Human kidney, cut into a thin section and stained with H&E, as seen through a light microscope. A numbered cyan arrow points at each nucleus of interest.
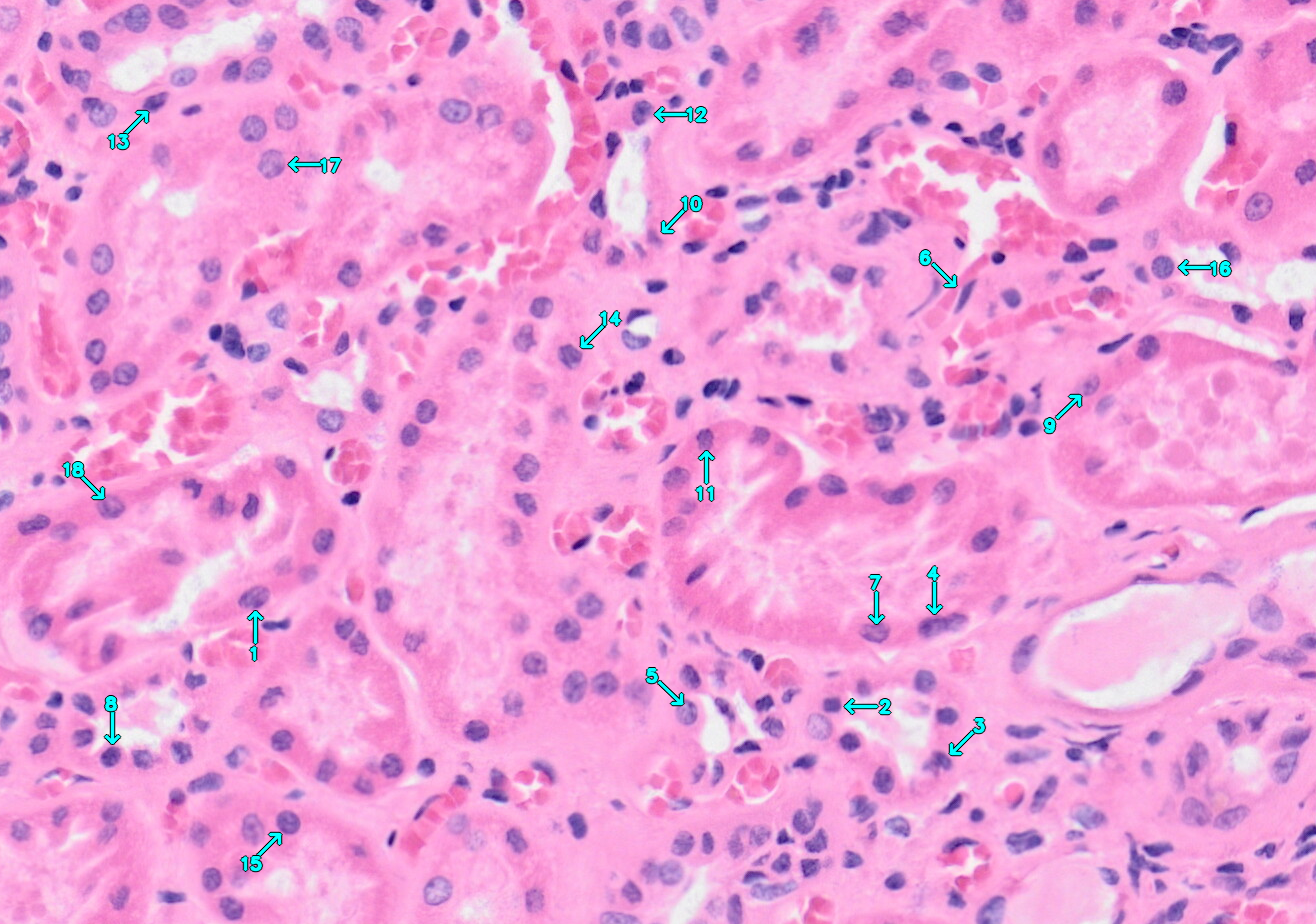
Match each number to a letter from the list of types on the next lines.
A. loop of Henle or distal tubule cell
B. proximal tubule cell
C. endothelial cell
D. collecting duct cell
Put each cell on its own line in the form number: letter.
1: B
2: A
3: A
4: B
5: A
6: C
7: B
8: A
9: B
10: A
11: B
12: A
13: D
14: B
15: B
16: A
17: B
18: B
